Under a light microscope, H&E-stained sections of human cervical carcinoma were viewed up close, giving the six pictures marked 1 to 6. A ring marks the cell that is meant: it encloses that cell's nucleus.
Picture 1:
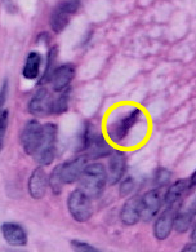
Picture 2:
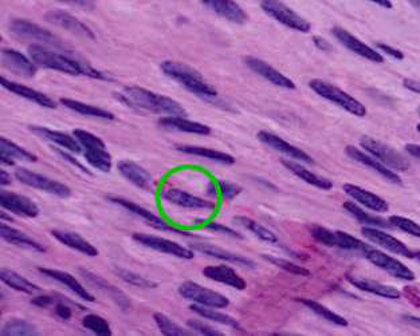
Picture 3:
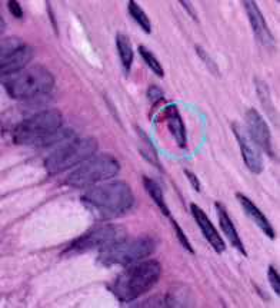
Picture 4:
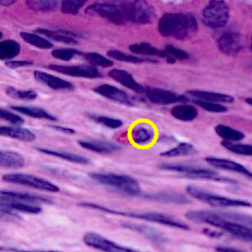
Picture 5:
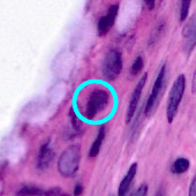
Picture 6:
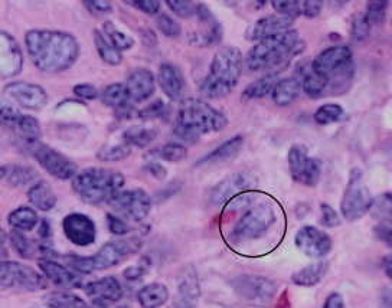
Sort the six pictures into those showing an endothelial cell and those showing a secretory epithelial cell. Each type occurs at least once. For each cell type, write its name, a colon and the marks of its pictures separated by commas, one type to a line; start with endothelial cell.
endothelial cell: 2, 3, 4, 6
secretory epithelial cell: 1, 5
